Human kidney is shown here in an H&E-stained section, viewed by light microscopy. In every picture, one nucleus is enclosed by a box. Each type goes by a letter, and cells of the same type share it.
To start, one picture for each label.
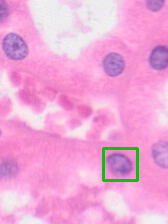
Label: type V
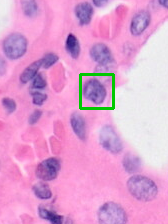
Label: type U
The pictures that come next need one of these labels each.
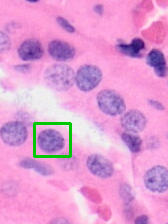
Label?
type U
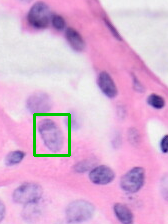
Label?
type U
